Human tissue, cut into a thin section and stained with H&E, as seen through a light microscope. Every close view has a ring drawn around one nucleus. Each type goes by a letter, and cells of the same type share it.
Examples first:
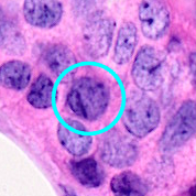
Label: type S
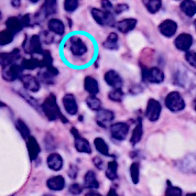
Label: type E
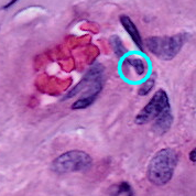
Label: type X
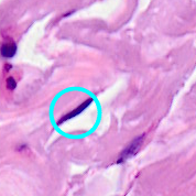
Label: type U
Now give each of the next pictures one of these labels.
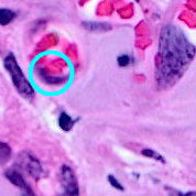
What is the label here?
type X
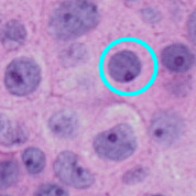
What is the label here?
type S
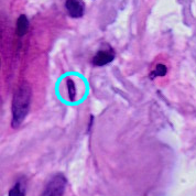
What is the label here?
type U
